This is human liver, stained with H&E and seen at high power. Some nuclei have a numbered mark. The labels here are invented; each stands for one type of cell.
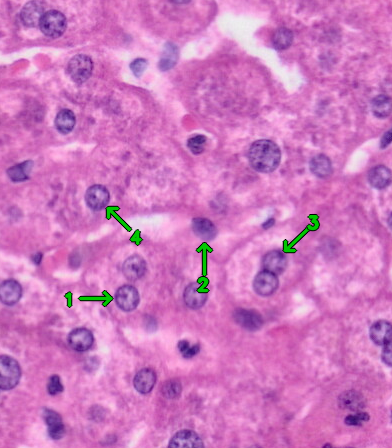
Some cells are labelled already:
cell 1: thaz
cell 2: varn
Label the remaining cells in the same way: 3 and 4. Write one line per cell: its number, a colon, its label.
3: thaz
4: thaz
